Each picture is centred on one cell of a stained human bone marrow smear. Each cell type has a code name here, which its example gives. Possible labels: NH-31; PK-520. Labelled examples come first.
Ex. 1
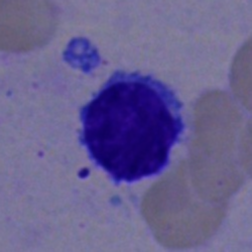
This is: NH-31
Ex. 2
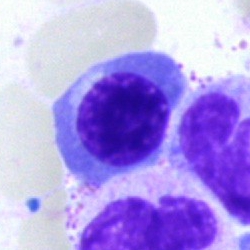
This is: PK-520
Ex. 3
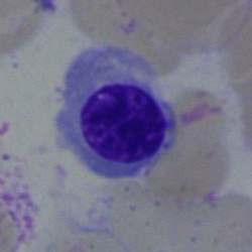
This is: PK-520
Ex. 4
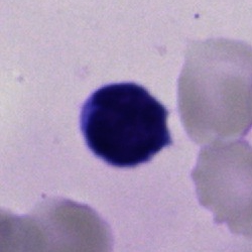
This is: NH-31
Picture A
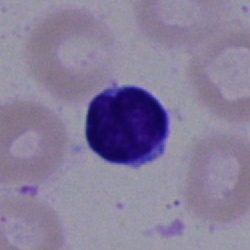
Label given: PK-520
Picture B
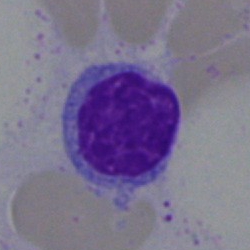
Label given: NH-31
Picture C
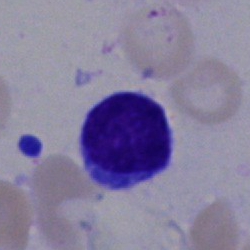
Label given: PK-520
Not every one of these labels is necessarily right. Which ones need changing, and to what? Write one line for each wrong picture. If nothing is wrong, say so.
A is labelled PK-520; correct label: NH-31
C is labelled PK-520; correct label: NH-31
